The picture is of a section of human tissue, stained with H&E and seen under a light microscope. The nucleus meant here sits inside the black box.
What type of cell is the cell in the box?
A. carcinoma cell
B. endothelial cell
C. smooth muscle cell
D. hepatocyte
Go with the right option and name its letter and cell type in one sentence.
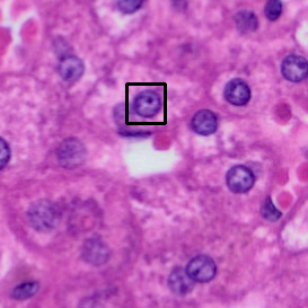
The correct option is D, as the cell in the box is a hepatocyte.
